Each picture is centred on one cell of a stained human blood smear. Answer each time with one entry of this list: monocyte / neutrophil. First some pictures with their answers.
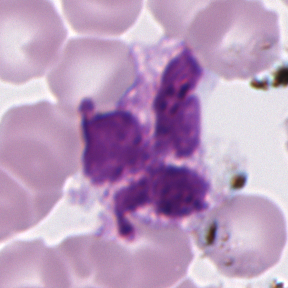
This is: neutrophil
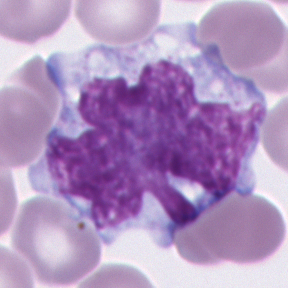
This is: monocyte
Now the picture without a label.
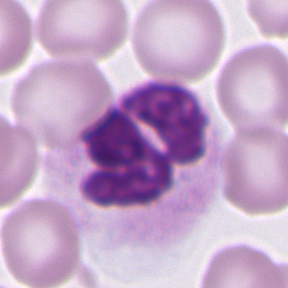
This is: neutrophil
